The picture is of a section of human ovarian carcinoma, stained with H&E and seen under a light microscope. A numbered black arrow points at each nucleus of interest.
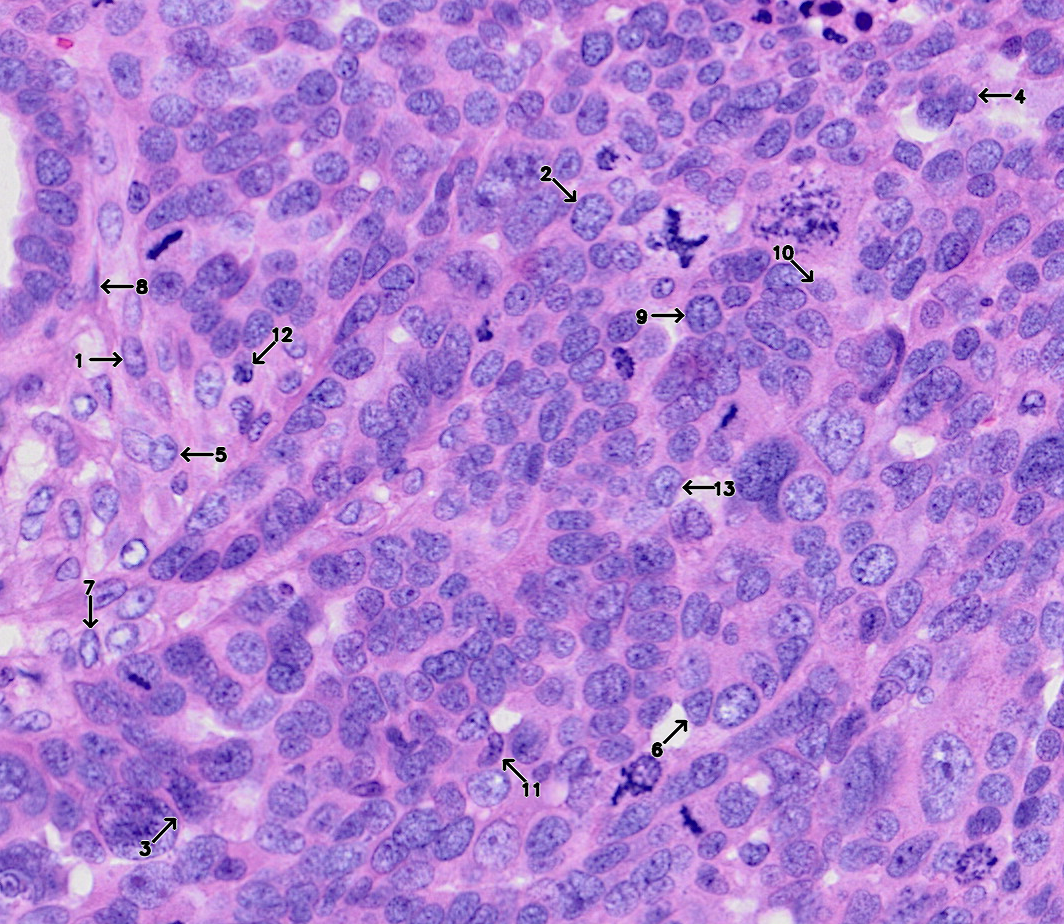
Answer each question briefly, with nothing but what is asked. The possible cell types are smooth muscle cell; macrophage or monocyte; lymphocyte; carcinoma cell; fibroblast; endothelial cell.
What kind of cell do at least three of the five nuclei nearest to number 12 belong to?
fibroblast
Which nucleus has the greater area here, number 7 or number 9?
9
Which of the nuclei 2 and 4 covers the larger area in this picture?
2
